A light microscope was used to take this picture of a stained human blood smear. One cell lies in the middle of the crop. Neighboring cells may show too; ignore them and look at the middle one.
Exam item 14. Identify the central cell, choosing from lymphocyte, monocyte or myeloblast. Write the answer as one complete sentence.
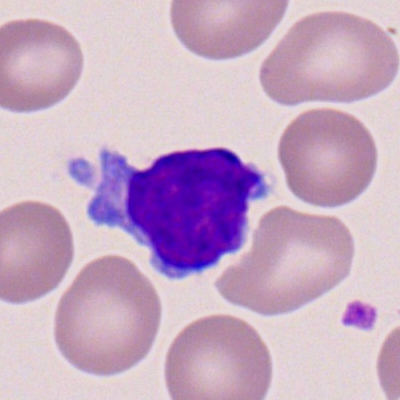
Looking at the middle of the crop, the cell there is a lymphocyte.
